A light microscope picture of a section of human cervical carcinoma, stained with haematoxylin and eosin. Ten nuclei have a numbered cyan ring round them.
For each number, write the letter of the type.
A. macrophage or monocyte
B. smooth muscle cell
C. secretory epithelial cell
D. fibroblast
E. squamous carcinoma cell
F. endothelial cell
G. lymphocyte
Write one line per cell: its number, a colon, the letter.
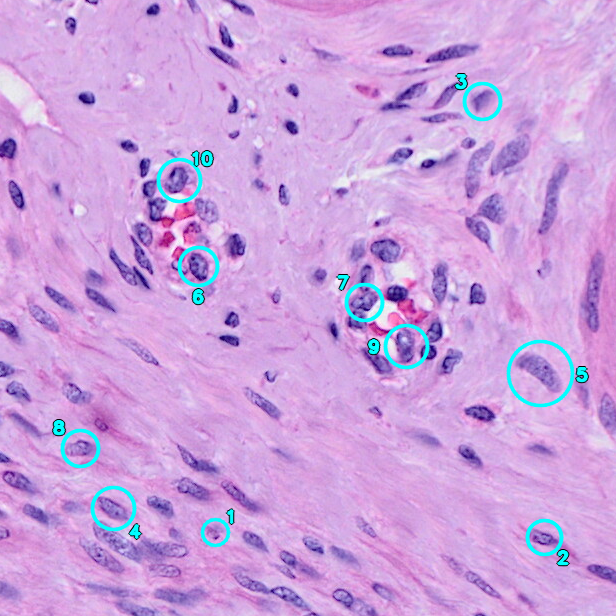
1: B
2: B
3: D
4: B
5: D
6: F
7: F
8: B
9: F
10: F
